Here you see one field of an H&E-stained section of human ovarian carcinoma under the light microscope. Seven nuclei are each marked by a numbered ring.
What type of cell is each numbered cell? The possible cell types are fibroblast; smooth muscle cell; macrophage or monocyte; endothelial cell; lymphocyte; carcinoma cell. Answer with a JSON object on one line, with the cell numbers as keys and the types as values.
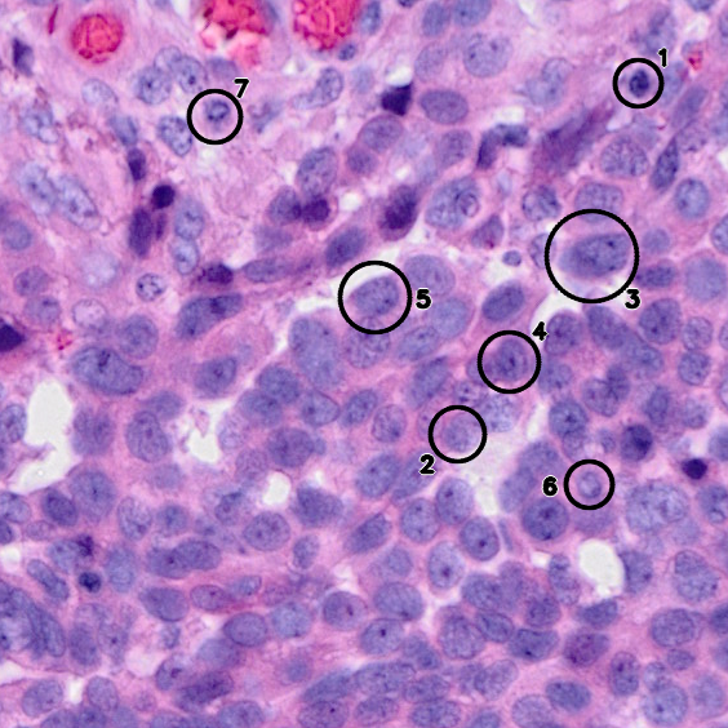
{"1": "lymphocyte", "2": "carcinoma cell", "3": "carcinoma cell", "4": "carcinoma cell", "5": "carcinoma cell", "6": "macrophage or monocyte", "7": "macrophage or monocyte"}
